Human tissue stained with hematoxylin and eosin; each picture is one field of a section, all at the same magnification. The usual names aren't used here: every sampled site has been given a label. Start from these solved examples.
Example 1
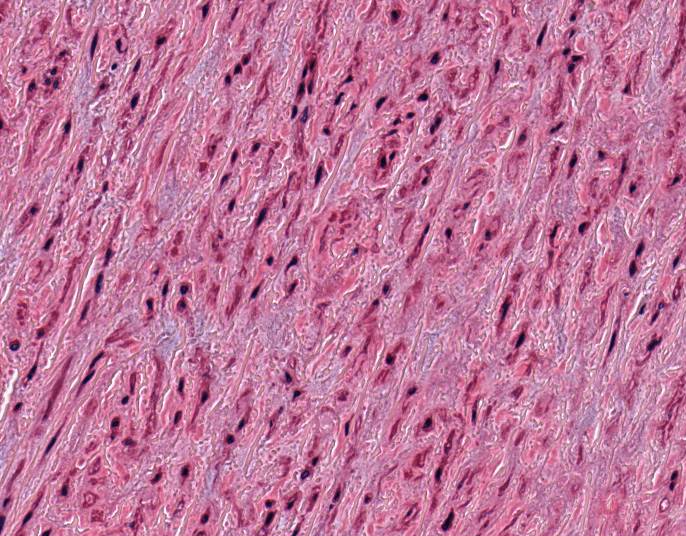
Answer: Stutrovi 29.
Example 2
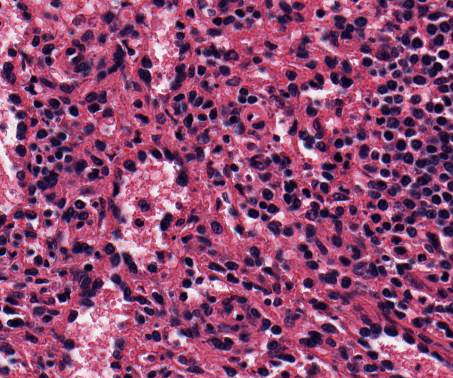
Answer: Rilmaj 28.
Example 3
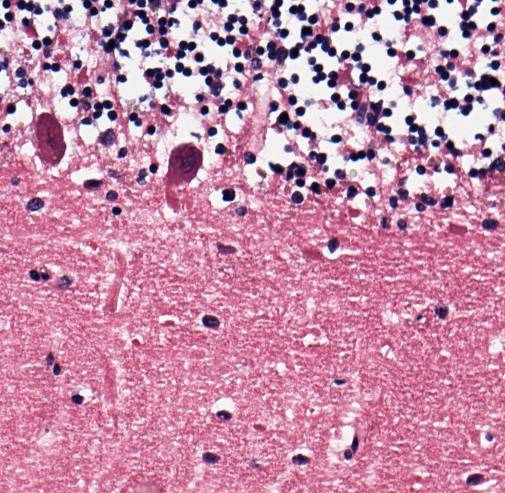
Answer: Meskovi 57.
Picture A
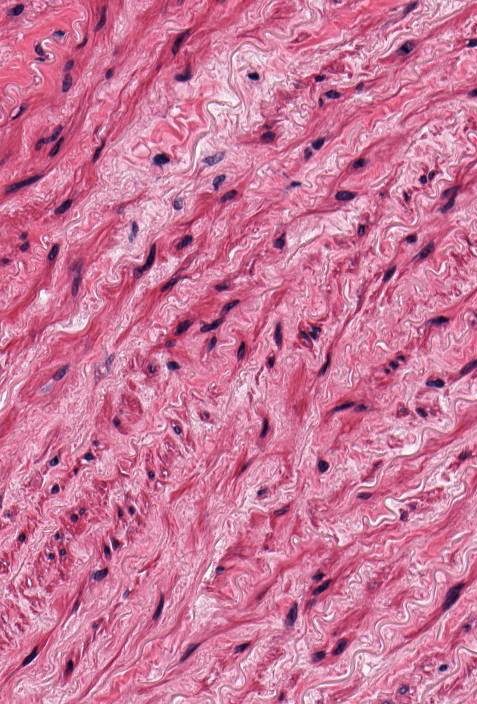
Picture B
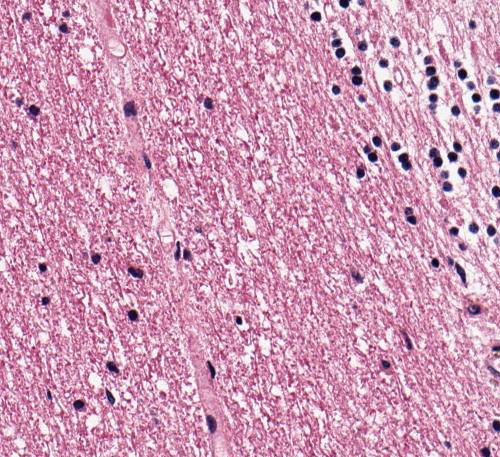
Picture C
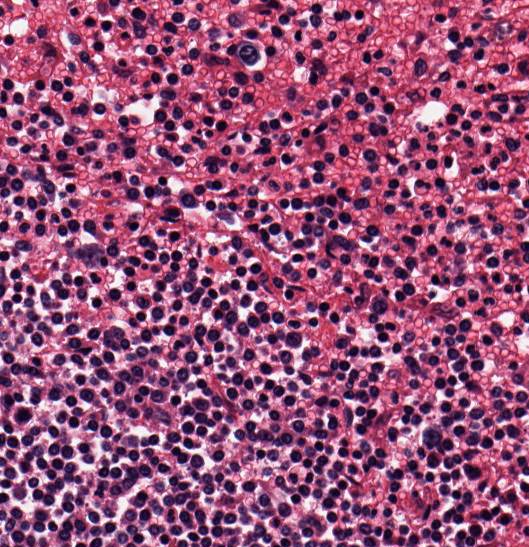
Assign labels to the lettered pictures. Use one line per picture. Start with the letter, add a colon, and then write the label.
A: Stutrovi 29.
B: Meskovi 57.
C: Rilmaj 28.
